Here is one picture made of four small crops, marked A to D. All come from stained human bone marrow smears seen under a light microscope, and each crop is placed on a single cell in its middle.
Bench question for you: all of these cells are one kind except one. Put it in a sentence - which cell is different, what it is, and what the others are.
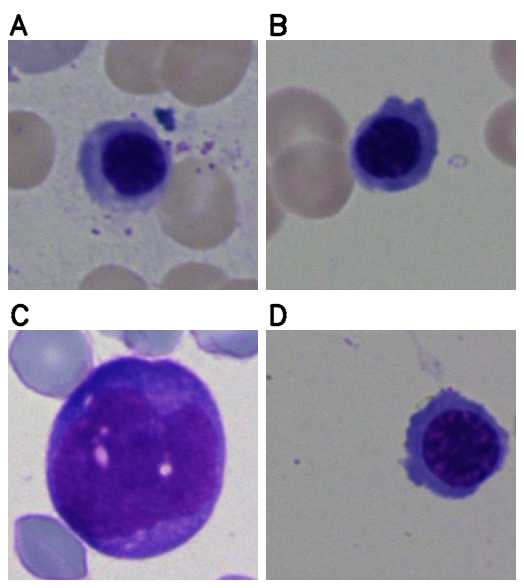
Crop C is the exception here: it is a blast, and the others are erythroblasts.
